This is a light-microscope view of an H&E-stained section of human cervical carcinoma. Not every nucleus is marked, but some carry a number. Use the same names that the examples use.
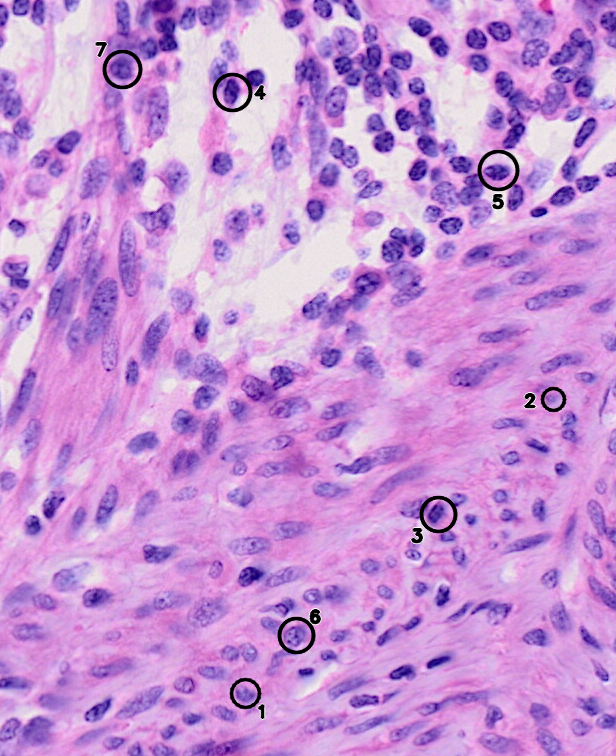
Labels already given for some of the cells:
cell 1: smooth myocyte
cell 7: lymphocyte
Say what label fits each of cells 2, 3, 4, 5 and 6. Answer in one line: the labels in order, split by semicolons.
smooth myocyte; lymphocyte; lymphocyte; lymphocyte; smooth myocyte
